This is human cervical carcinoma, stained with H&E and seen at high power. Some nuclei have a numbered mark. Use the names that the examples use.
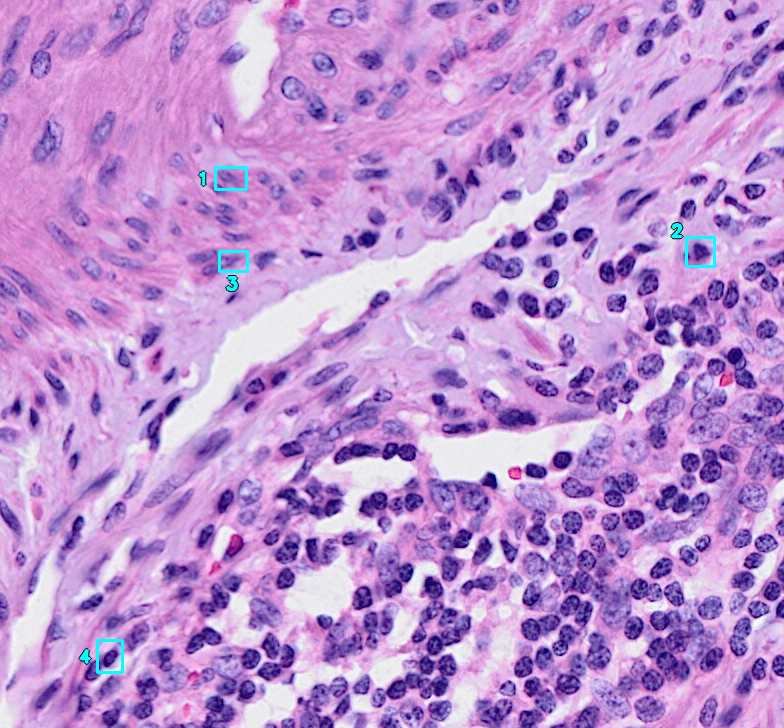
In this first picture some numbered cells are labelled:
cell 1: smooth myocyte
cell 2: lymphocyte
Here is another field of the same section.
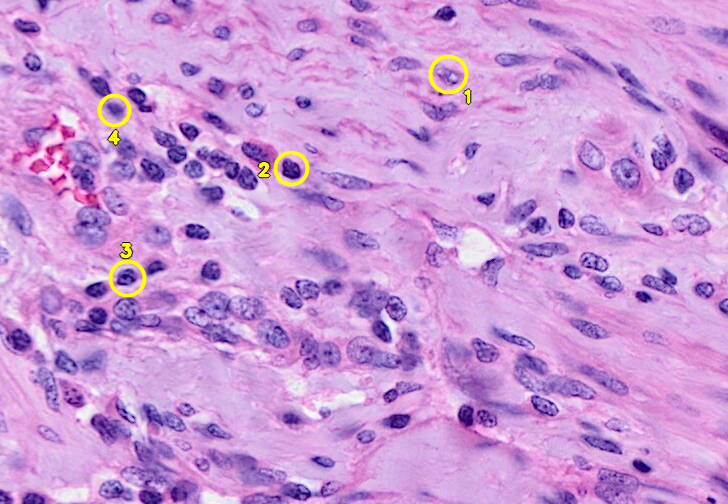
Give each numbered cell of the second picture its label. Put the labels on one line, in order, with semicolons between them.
smooth myocyte; lymphocyte; lymphocyte; lymphocyte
